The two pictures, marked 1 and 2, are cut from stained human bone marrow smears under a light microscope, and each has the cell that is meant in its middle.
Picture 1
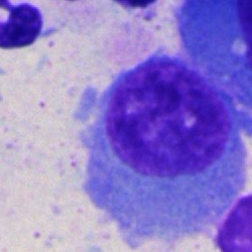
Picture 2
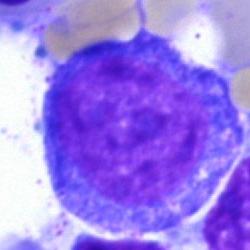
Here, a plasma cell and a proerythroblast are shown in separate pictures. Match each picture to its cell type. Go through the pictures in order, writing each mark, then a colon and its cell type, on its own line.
1: plasma cell
2: proerythroblast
